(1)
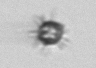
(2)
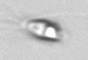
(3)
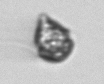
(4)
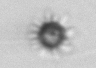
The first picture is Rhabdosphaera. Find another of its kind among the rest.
Picture 4.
